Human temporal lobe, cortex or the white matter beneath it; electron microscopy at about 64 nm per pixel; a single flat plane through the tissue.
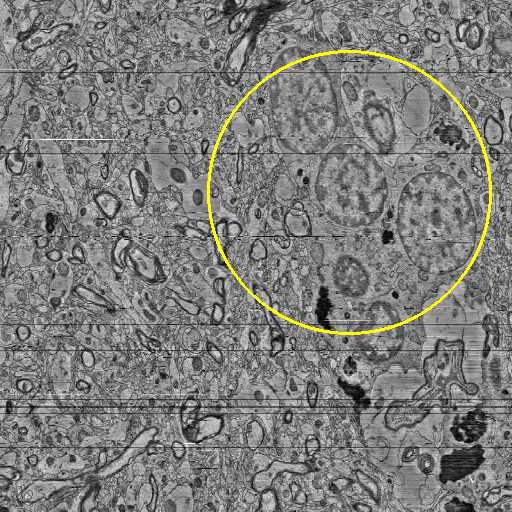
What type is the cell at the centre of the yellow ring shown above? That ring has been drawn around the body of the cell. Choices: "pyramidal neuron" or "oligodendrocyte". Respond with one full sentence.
My answer is that an oligodendrocyte lies at the centre of the yellow ring above.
